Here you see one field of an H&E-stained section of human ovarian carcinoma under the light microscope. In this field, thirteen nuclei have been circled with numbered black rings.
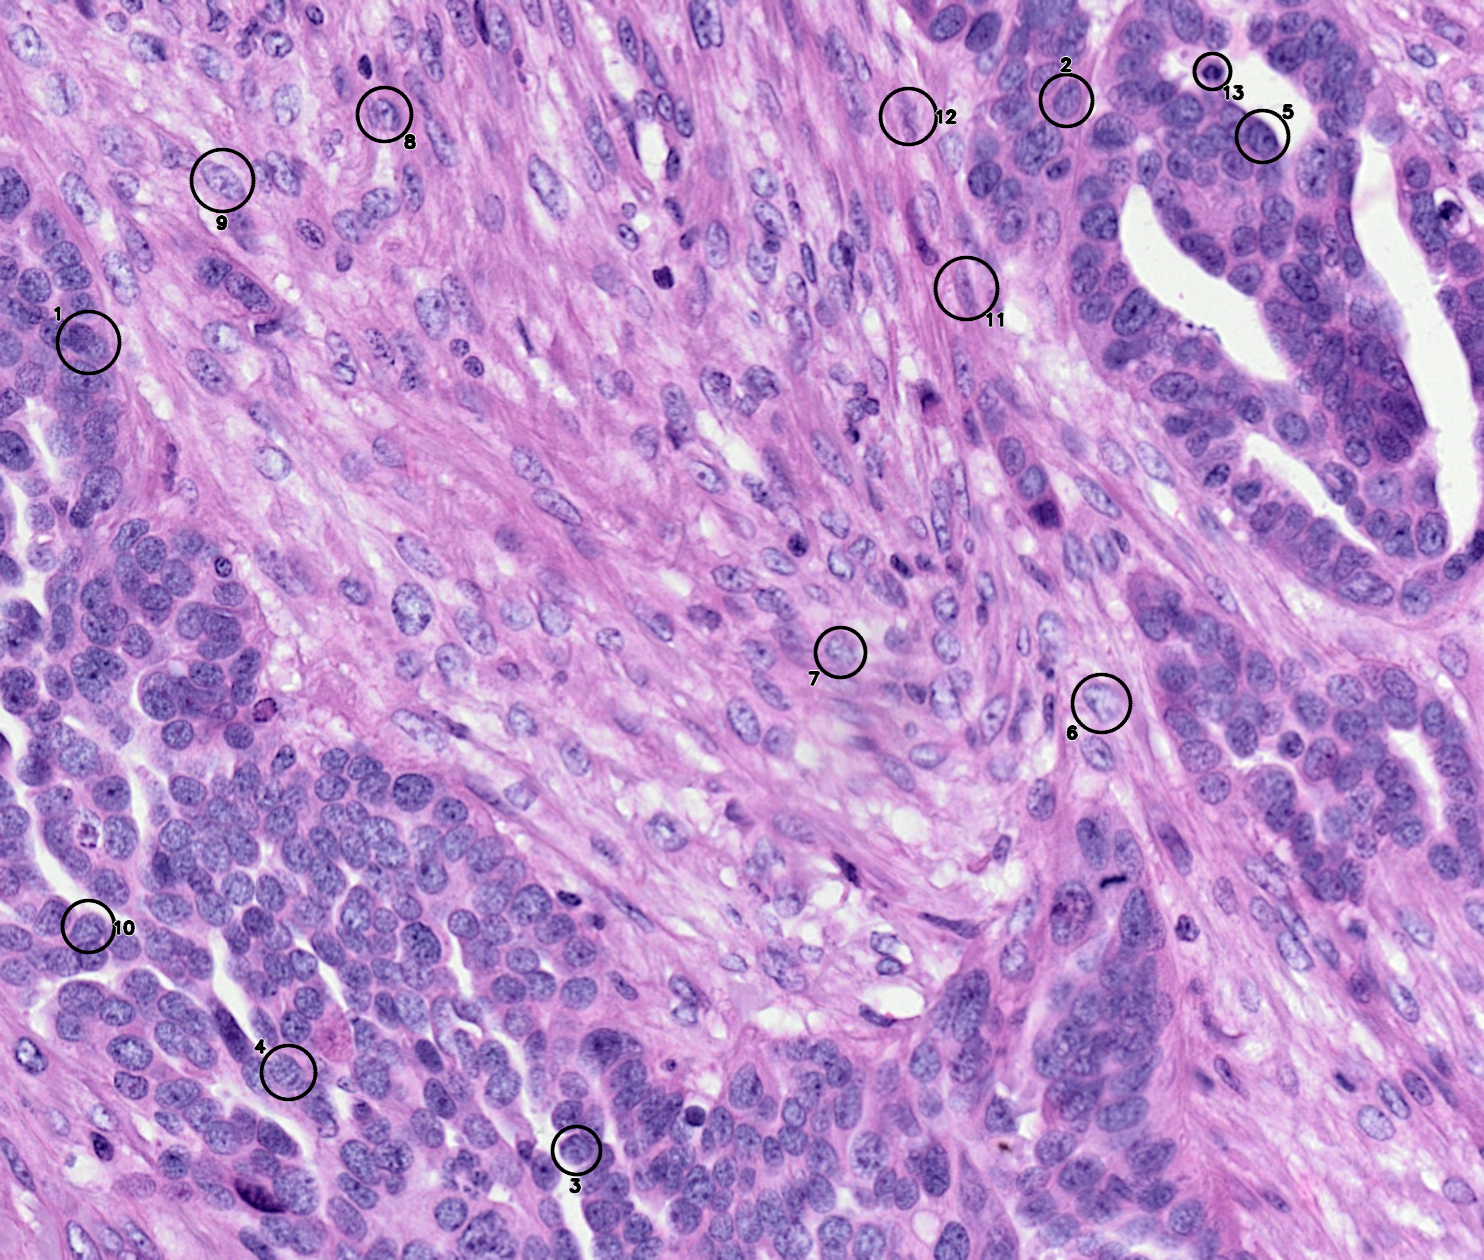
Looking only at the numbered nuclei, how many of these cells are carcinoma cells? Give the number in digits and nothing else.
6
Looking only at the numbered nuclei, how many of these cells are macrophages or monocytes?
1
